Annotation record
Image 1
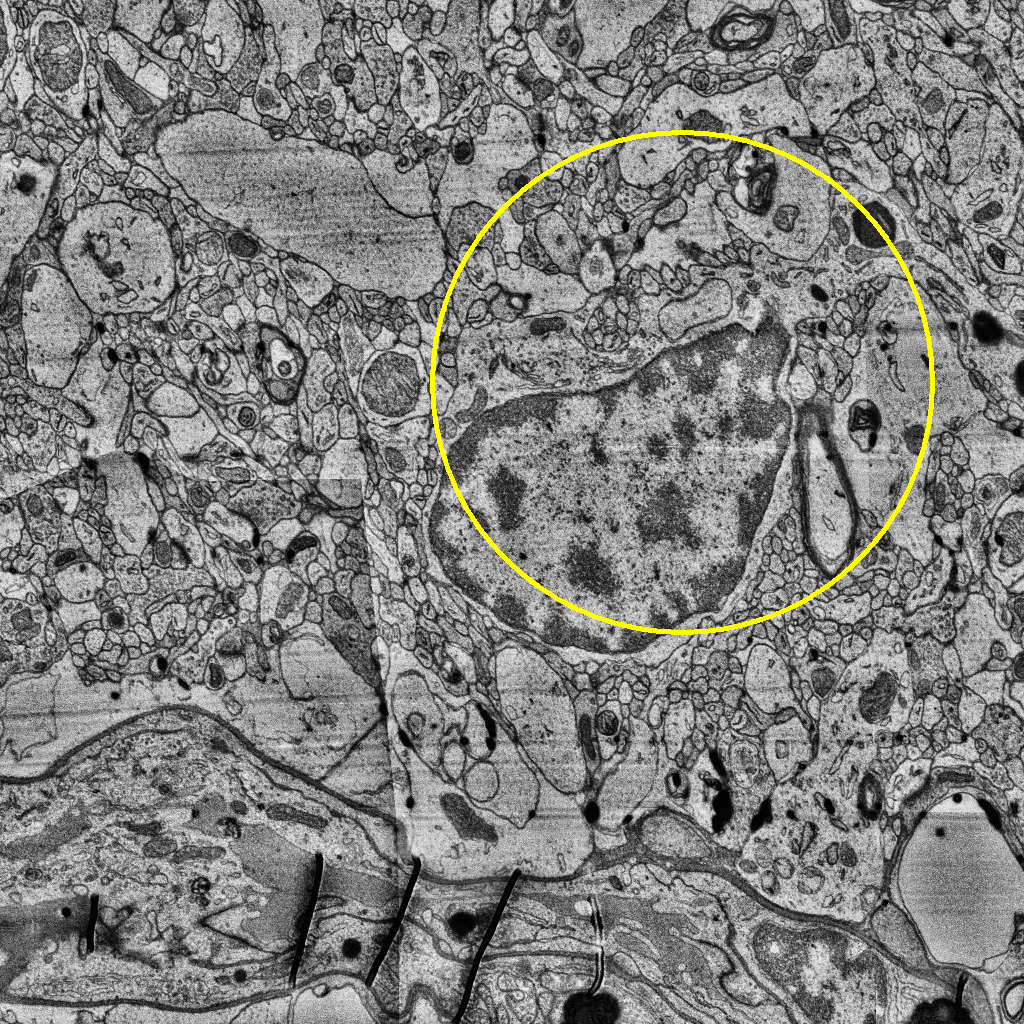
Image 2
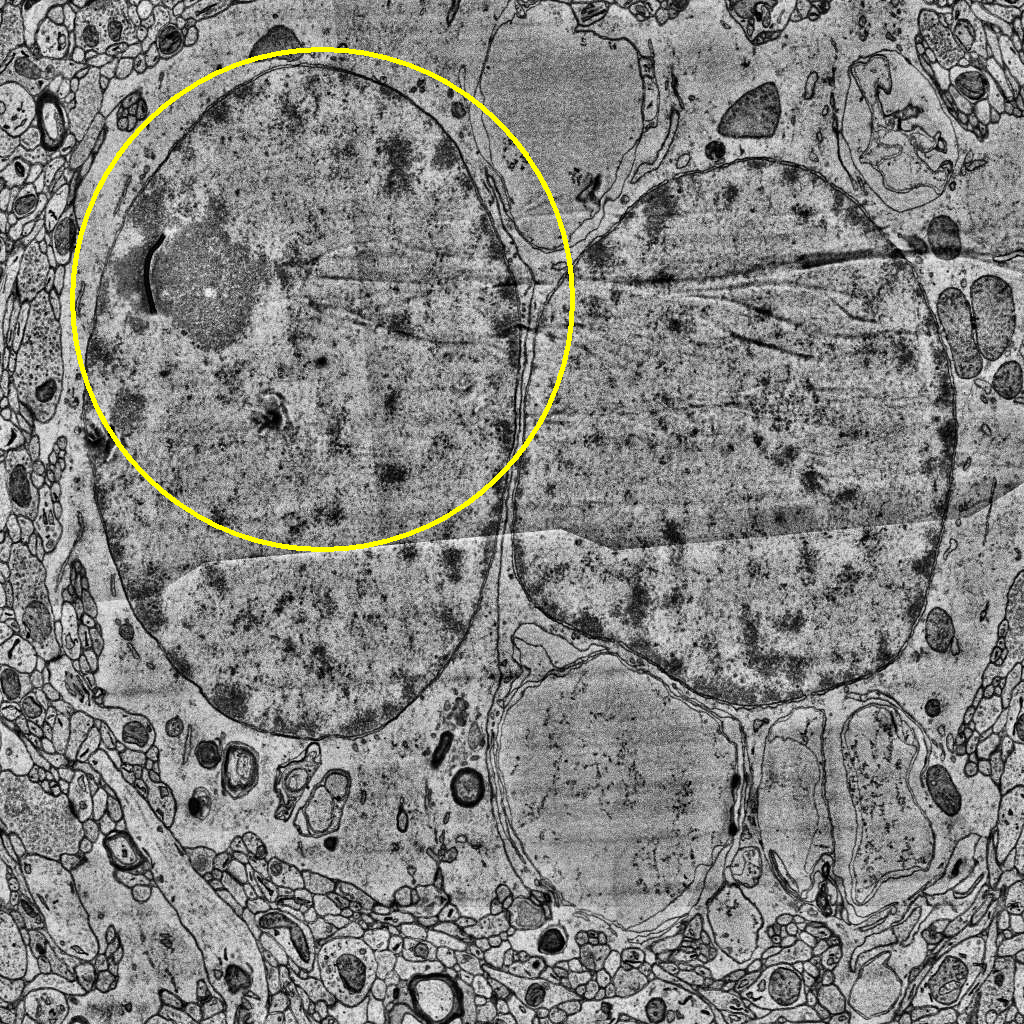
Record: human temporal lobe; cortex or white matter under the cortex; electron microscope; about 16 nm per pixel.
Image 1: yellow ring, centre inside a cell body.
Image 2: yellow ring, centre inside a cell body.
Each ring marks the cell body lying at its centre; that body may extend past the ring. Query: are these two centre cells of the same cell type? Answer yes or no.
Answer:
no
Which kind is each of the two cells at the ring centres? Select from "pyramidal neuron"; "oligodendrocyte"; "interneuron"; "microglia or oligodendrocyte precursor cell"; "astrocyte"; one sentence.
For the first picture it is a microglial cell or oligodendrocyte precursor cell; for the second, an astrocyte.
